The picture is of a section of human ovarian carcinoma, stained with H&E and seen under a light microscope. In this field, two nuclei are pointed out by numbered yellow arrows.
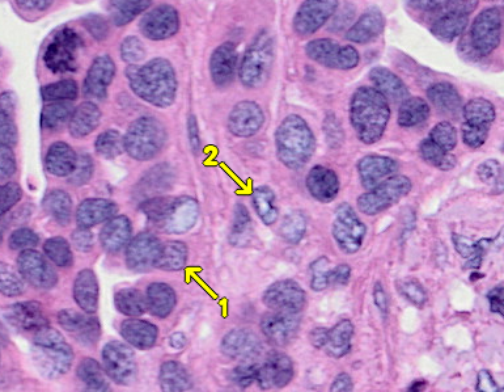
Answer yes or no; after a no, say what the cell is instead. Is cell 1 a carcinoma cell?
Yes.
